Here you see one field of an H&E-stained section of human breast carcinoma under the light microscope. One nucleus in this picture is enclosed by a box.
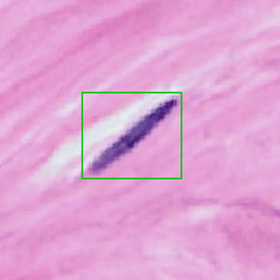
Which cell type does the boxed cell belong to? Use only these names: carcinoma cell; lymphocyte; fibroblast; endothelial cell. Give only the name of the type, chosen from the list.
fibroblast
